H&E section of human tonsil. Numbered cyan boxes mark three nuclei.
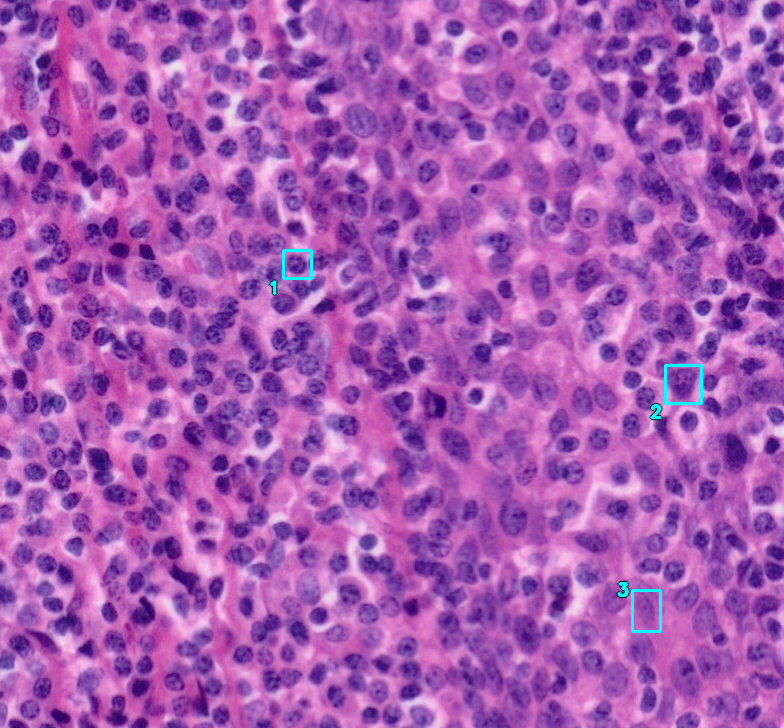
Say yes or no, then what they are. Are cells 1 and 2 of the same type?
No, cell 1 is a plasma cell and cell 2 is a squamous epithelial cell.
